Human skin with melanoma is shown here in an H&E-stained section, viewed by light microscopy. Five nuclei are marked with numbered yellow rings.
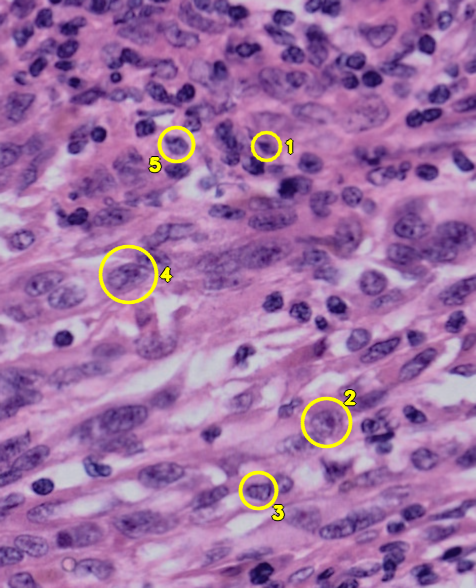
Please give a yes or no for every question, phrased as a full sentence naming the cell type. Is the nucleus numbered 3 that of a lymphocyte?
No, it is a melanoma cell, not a lymphocyte, that number 3 marks.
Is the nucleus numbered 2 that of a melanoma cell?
Yes, the cell with its nucleus marked 2 is a melanoma cell.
